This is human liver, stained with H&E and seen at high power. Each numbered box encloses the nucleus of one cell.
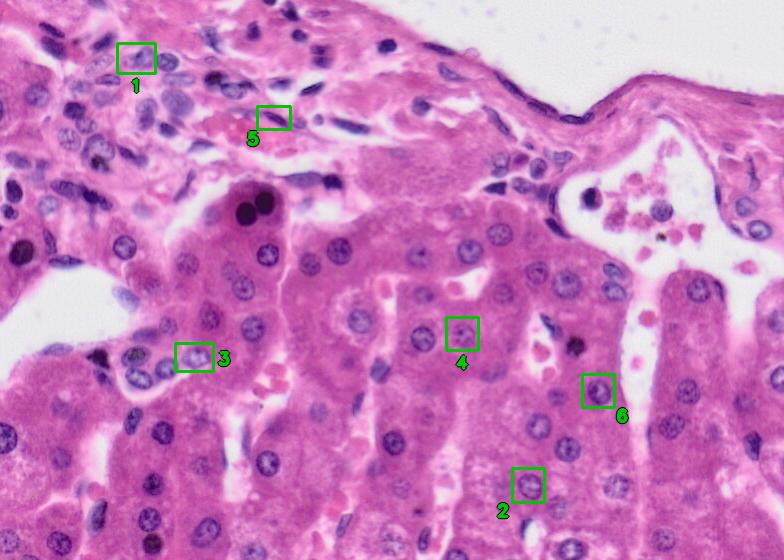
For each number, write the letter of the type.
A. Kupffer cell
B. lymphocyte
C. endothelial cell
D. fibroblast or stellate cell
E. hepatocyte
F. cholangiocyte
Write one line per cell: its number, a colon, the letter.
1: F
2: E
3: F
4: E
5: D
6: E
